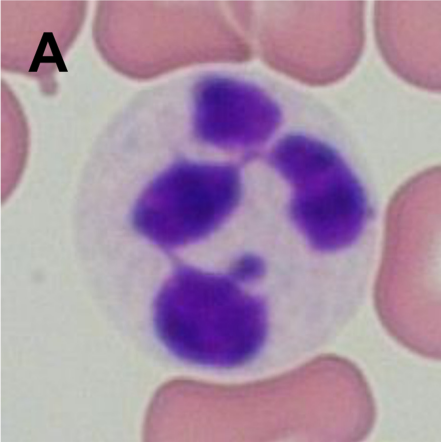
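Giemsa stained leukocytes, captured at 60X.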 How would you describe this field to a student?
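This is a neutrophil in a blood smear, lying among pink red blood cells. Its nucleus is divided into about four dark purple lobes, linked by thin strands of chromatin. The cytoplasm around them is pale pinkish-lilac and fills a round cell somewhat larger than the red cells beside it.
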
